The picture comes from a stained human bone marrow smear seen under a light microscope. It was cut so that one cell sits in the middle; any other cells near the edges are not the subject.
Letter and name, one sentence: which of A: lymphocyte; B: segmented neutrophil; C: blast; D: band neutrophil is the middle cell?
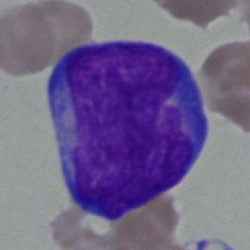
Option C is correct, and the cell in the centre is a blast.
